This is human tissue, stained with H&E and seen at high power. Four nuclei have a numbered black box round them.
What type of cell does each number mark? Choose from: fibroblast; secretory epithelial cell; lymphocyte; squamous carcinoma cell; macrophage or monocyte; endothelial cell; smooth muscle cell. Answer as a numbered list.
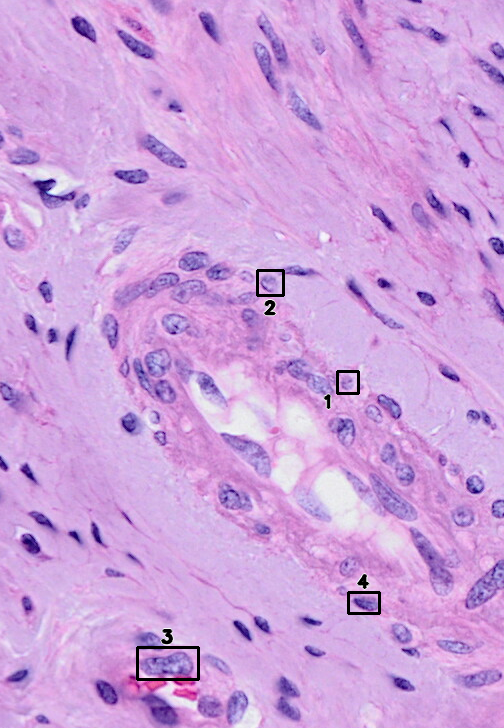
1. smooth muscle cell
2. smooth muscle cell
3. endothelial cell
4. smooth muscle cell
